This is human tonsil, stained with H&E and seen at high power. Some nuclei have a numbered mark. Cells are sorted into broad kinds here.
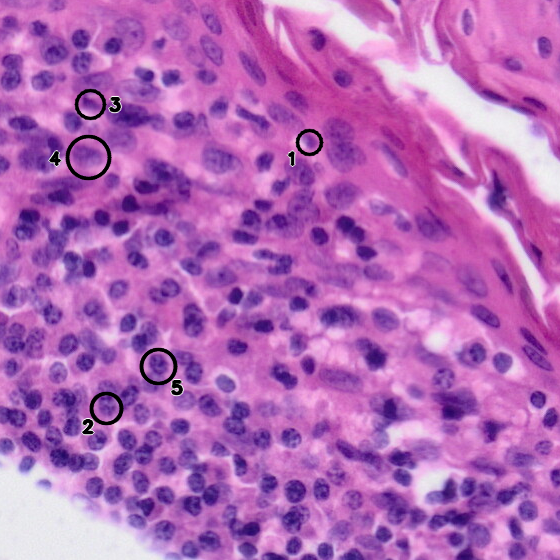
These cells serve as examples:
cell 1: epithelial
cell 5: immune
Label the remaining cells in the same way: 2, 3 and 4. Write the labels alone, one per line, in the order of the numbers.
immune
epithelial
epithelial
